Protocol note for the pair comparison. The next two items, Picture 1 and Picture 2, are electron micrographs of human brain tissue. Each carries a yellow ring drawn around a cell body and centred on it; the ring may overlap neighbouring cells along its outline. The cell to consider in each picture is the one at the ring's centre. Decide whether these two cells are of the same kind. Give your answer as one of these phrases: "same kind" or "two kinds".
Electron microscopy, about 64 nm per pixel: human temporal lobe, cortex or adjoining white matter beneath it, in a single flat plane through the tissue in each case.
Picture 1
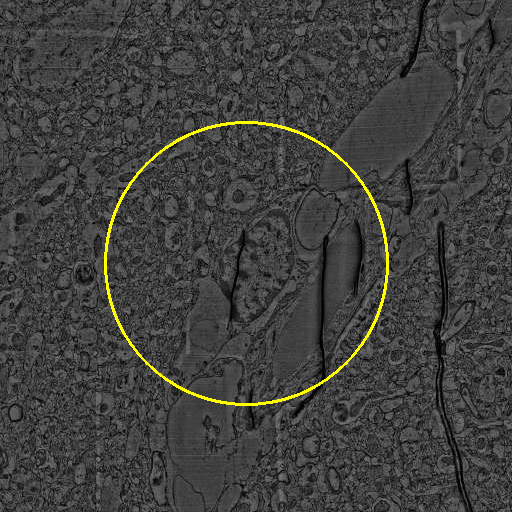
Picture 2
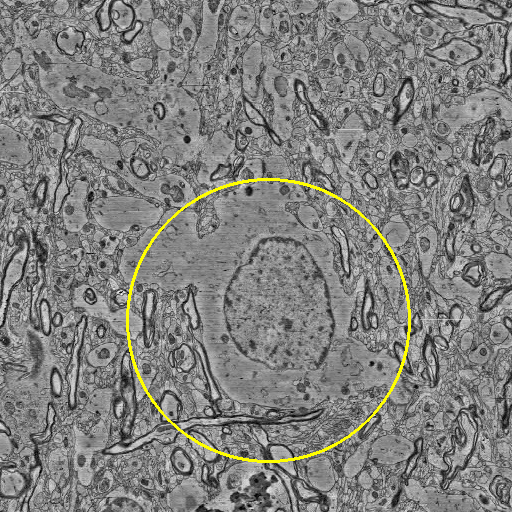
two kinds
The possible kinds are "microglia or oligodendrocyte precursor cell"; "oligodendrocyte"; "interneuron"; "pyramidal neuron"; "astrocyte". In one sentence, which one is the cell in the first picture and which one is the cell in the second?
The cell ringed in the second picture is an astrocyte, whereas the one ringed in the first is a microglial cell or oligodendrocyte precursor cell.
